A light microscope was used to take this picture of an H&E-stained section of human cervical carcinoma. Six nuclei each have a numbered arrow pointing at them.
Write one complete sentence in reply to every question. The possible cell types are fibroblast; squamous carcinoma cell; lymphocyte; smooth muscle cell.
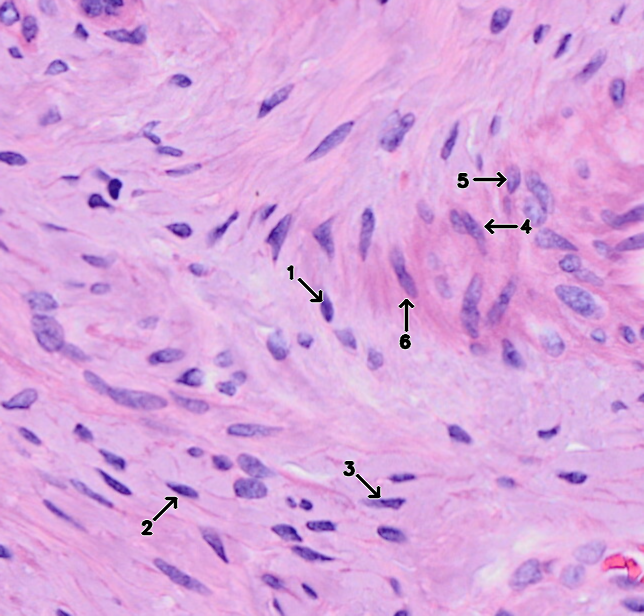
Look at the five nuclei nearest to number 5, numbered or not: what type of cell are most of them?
Smooth muscle cells account for more than half of the five nuclei nearest to number 5.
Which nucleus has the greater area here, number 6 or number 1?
Of the two, number 6 is bigger and takes up about 2 times the area of number 1.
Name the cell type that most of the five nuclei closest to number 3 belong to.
Most of the five nuclei nearest to number 3 are those of fibroblasts.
